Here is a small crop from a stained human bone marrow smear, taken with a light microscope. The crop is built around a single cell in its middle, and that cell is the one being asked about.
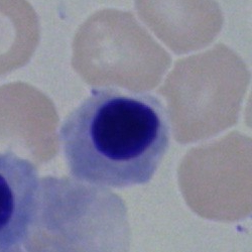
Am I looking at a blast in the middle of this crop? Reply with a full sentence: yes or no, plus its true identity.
No, the central cell is reported as a normoblast rather than as a blast.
